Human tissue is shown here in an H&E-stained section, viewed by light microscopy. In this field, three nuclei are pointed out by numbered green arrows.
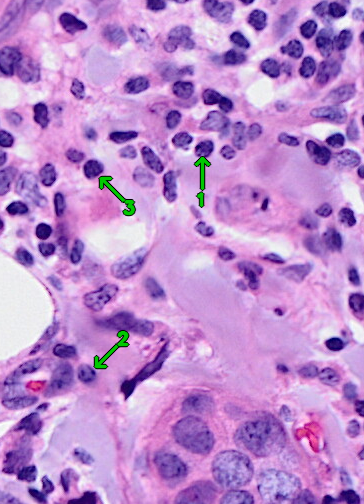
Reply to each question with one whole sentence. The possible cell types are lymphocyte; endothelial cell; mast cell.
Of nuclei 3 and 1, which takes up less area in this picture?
Nucleus 1 covers less area, with nucleus 3 about 1.5 times as large.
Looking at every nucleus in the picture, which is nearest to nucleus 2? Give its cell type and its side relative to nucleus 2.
Just to the left of nucleus 2 lies the nearest nucleus, which belongs to an endothelial cell.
